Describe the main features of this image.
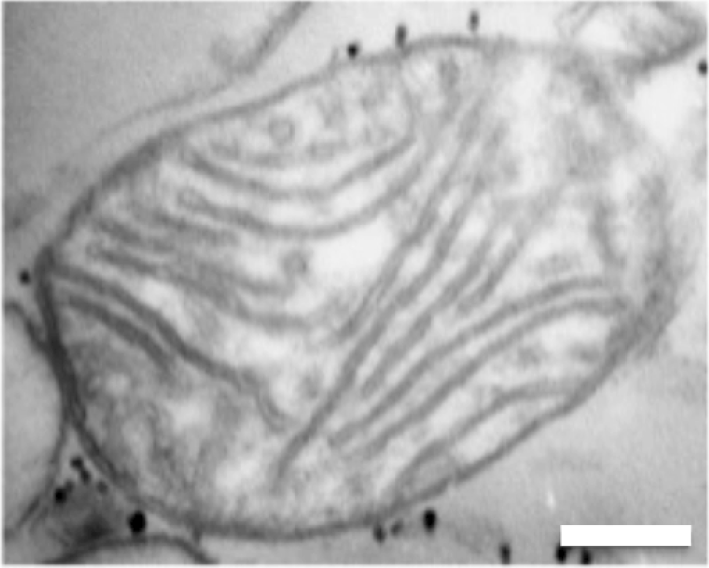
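This is a thin section through a single isolated mitochondrion. Its oval outline is drawn by a double membrane: a smooth outer membrane and, just inside, the inner membrane. From the inner membrane, many long, thin folds, the cristae, run across the interior roughly parallel to one another, with paler matrix between them. The folds look well preserved and closely packed.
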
